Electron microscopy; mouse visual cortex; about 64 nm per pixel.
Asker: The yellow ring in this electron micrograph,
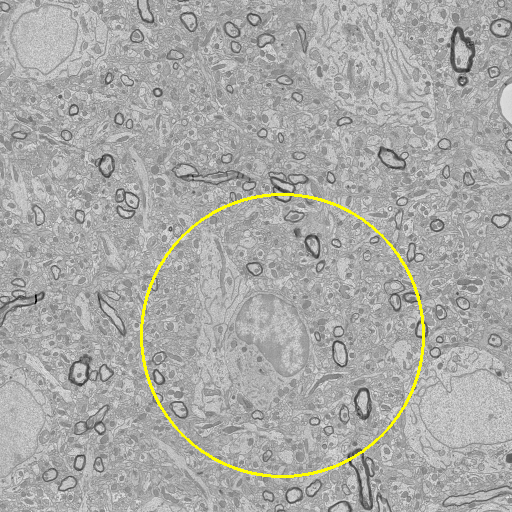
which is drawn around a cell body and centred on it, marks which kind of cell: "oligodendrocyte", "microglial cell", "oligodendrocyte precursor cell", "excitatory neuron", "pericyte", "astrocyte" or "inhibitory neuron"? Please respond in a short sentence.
The marked cell is an oligodendrocyte.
